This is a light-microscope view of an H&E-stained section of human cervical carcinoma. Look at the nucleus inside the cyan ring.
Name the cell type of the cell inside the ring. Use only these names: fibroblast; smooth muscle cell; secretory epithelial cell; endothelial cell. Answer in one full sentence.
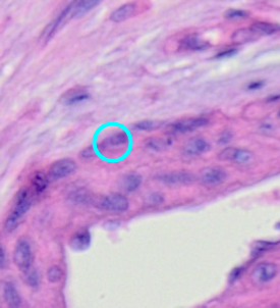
In this preparation, the cell inside the ring is a smooth muscle cell.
